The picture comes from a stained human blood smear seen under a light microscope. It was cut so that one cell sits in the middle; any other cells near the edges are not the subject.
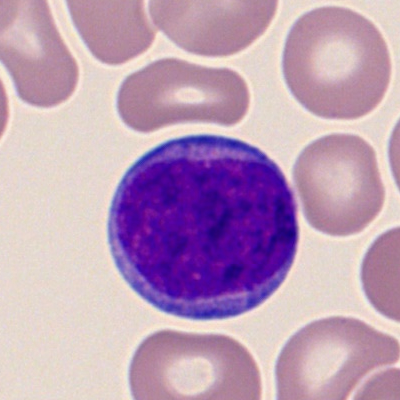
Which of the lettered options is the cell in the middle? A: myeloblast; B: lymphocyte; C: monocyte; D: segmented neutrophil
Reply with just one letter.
A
